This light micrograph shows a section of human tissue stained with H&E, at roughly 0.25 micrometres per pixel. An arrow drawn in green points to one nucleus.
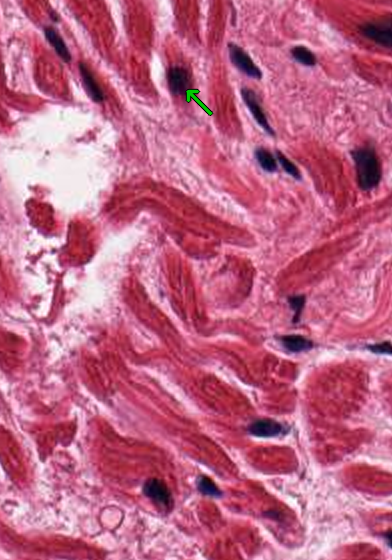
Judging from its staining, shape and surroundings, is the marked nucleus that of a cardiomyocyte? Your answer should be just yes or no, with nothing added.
yes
